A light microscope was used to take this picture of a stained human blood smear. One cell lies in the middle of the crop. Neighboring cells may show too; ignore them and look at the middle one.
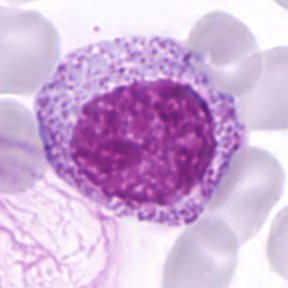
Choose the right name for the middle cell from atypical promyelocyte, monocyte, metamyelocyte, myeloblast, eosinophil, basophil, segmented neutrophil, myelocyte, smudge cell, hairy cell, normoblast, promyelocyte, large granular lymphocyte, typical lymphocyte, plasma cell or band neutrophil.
myelocyte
